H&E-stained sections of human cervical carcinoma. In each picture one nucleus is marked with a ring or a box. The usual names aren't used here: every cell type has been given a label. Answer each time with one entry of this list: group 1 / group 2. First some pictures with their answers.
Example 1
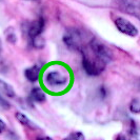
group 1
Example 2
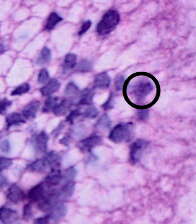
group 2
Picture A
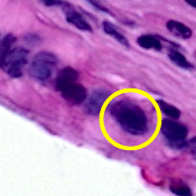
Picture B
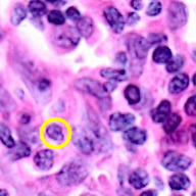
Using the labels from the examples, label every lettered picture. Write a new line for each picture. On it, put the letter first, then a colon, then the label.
A: group 2
B: group 1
